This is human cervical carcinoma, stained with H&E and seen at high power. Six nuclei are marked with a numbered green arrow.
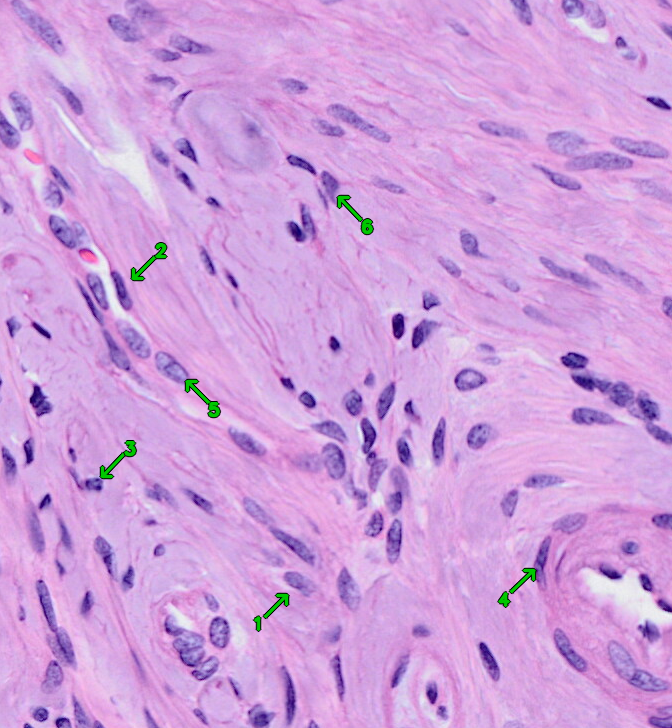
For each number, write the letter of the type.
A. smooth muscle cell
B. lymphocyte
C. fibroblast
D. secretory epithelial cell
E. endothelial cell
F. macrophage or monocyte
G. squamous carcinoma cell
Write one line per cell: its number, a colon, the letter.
1: A
2: E
3: C
4: A
5: E
6: C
